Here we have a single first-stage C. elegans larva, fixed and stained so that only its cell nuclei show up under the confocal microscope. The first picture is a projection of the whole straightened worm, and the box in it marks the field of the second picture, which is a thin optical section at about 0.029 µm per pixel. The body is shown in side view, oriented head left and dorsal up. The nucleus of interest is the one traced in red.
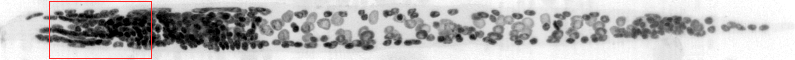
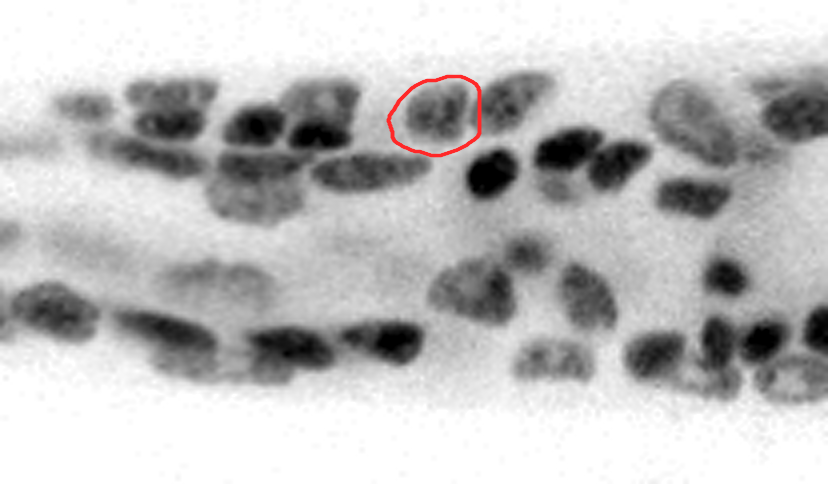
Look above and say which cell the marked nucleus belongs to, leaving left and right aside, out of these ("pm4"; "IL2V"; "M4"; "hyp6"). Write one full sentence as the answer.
The marked nucleus belongs to hyp6, a hypodermal cell (hyp).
